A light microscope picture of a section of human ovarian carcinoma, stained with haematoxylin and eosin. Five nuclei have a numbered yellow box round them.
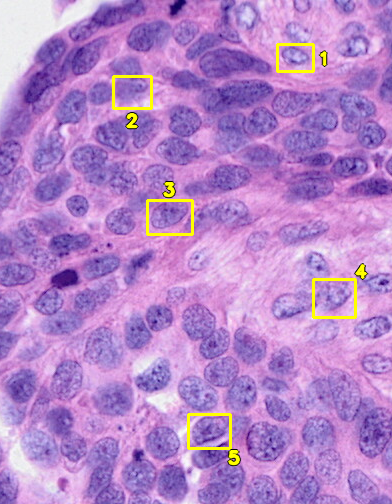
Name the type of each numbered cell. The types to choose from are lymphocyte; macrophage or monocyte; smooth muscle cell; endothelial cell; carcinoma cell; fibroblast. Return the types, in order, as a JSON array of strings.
["fibroblast", "carcinoma cell", "carcinoma cell", "fibroblast", "carcinoma cell"]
